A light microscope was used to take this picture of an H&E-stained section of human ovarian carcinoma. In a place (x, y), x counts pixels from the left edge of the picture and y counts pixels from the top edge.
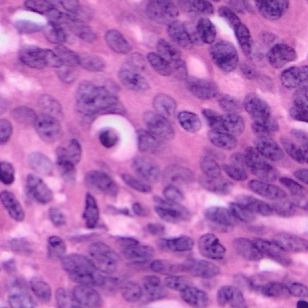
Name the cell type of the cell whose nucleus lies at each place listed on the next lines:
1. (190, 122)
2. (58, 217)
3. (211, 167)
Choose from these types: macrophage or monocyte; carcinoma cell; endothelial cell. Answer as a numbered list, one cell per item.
1. macrophage or monocyte
2. macrophage or monocyte
3. carcinoma cell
